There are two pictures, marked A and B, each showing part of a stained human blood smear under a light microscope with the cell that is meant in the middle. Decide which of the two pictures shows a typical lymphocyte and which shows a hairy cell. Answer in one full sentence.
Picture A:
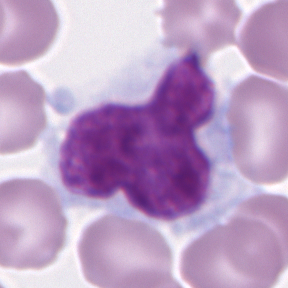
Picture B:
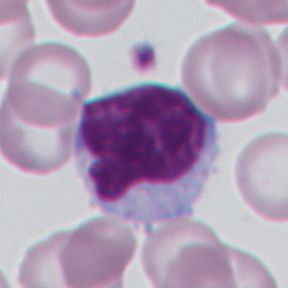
Picture A is of a hairy cell, and picture B is of a typical lymphocyte.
